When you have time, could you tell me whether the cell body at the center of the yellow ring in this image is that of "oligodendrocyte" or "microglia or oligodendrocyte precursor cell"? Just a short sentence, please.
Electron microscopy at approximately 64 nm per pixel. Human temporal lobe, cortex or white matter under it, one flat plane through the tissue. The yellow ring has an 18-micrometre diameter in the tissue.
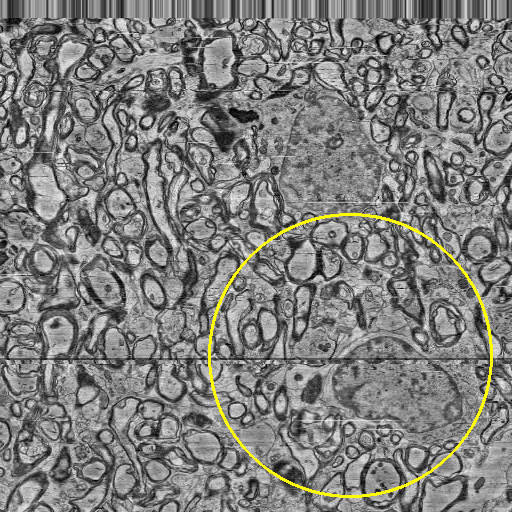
The cell body at the center of the ring is that of a microglial cell or oligodendrocyte precursor cell.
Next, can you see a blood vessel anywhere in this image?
No, none is visible.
